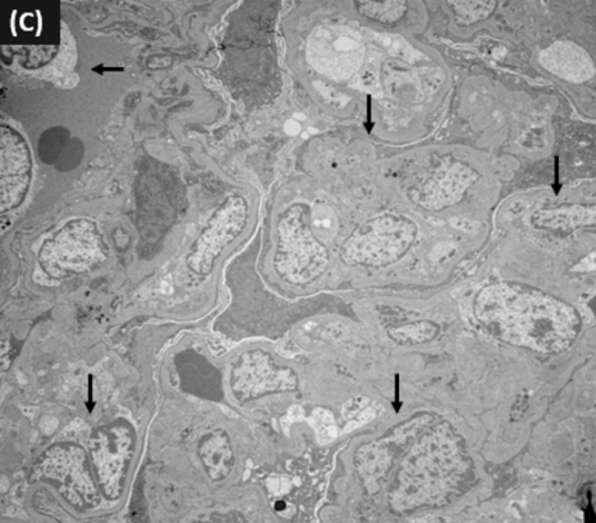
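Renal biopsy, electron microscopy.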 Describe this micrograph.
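This is a glomerular tuft seen at low power, packed with many cells whose oval nuclei with clumped chromatin crowd the space between the capillary loops. The capillary lumens are narrowed and compressed, a few holding dark red blood cells, and thin basement membranes outline the loops. The tuft looks overcrowded with cells, a hypercellular glomerulus.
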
